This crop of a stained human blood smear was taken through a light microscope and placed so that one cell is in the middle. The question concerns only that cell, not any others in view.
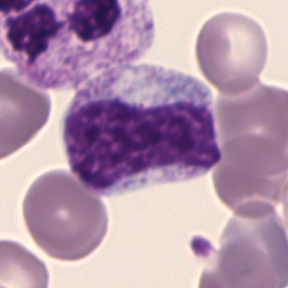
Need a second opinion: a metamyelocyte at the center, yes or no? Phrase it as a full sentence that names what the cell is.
Yes, the cell in the center of this crop is a metamyelocyte.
